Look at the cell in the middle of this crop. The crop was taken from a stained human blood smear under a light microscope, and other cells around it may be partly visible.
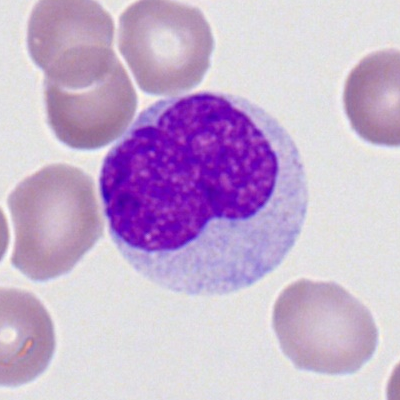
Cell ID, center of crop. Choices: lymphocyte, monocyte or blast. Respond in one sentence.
The cell sitting right in the middle is a monocyte.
